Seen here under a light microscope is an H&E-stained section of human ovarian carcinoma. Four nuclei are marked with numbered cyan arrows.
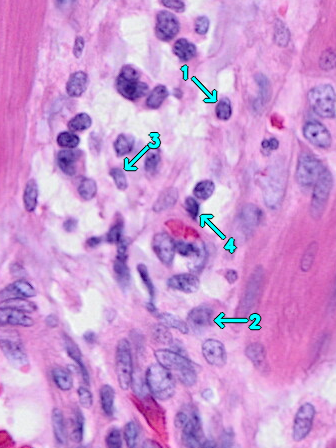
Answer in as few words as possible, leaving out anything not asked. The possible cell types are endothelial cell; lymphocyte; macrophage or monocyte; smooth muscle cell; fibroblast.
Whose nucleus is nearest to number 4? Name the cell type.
lymphocyte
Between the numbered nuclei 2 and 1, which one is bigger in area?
2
